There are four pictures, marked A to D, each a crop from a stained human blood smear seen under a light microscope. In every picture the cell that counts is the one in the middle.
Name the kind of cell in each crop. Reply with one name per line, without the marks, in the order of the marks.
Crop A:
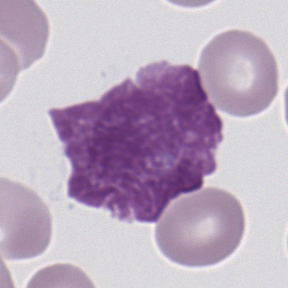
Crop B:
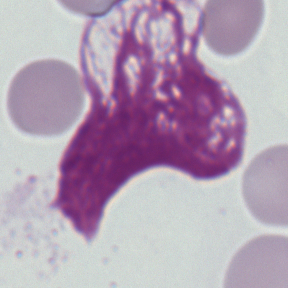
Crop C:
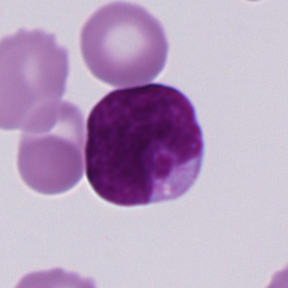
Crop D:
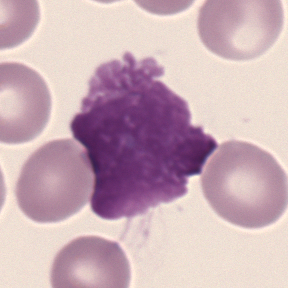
smudge cell
smudge cell
myeloblast
smudge cell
